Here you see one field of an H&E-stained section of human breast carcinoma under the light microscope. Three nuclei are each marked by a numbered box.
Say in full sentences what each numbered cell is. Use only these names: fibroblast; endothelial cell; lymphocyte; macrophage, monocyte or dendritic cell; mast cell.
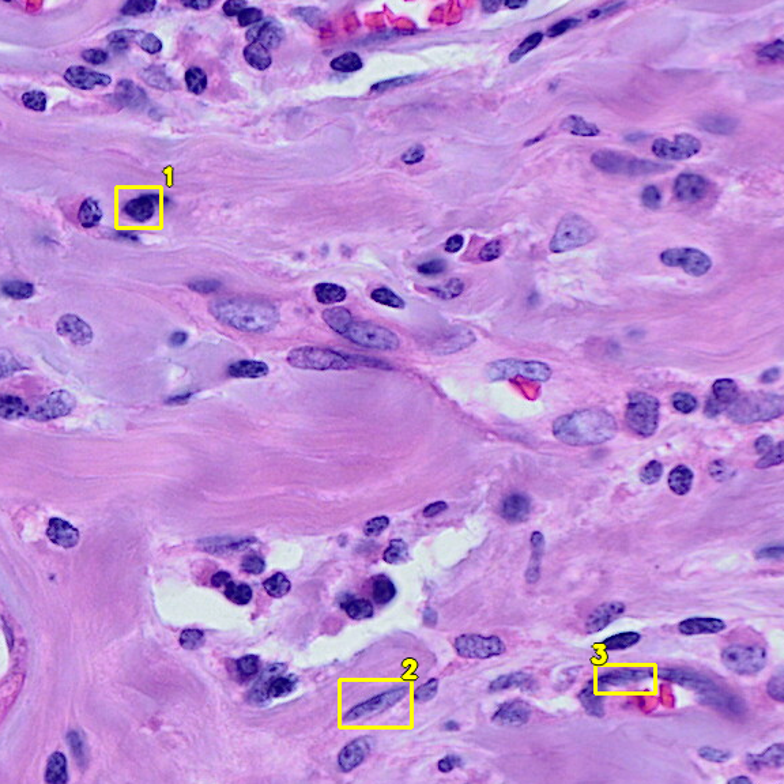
Cell 1 is a lymphocyte. Cell 2 is a fibroblast. Cell 3 is an endothelial cell.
